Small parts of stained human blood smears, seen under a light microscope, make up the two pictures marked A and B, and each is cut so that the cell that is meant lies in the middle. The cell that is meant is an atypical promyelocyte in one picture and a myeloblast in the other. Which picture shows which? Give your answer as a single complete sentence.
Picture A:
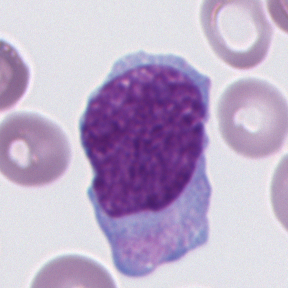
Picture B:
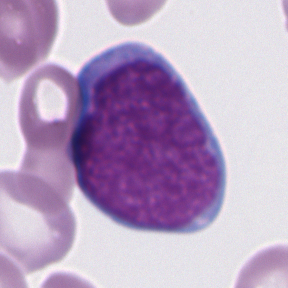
Picture A shows an atypical promyelocyte and picture B shows a myeloblast.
